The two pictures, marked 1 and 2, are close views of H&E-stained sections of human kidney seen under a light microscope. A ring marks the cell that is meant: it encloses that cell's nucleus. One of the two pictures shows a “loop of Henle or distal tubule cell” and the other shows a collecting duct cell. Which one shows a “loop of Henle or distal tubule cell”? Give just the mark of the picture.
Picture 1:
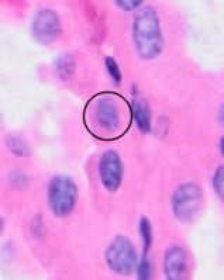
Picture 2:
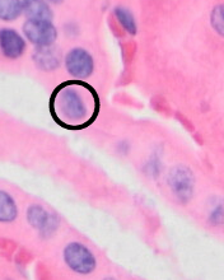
1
